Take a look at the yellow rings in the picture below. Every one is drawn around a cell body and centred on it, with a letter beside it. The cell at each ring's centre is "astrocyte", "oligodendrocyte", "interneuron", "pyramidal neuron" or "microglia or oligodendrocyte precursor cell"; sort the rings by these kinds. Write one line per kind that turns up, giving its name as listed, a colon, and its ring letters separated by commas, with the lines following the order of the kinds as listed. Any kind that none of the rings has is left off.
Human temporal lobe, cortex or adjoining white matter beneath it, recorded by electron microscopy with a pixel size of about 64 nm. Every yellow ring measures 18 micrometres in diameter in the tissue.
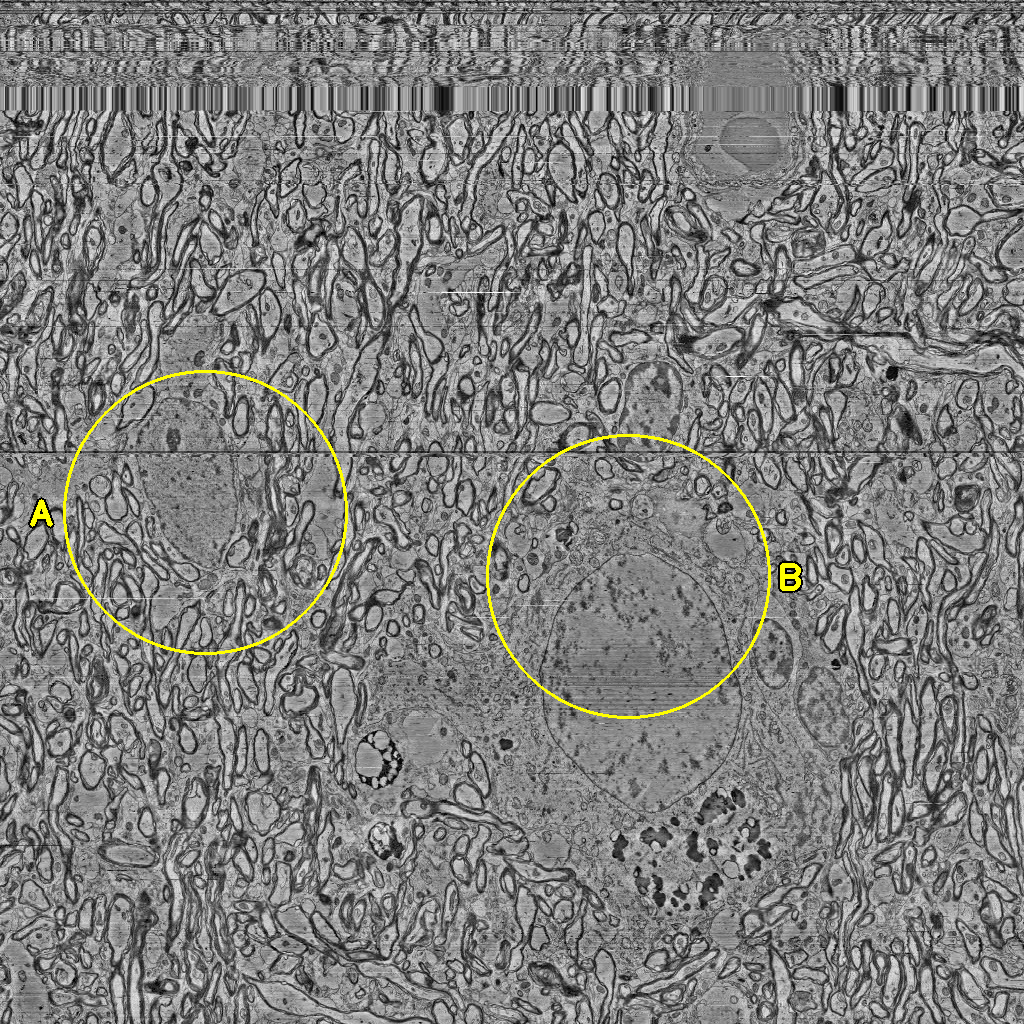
astrocyte: A
pyramidal neuron: B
